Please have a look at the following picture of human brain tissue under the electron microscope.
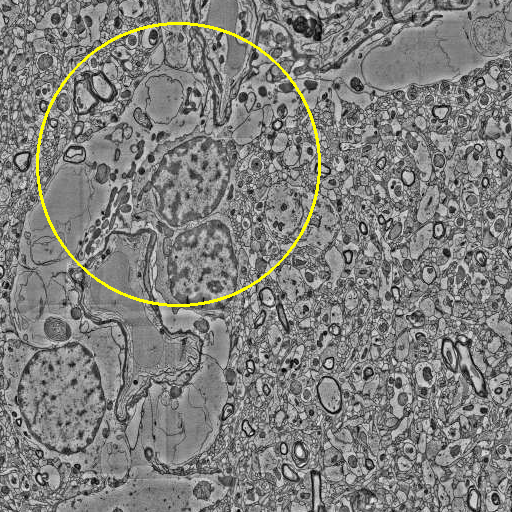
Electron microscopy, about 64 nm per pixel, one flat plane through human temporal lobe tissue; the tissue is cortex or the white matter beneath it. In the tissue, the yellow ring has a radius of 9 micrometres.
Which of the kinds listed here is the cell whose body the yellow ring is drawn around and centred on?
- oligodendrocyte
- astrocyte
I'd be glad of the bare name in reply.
oligodendrocyte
